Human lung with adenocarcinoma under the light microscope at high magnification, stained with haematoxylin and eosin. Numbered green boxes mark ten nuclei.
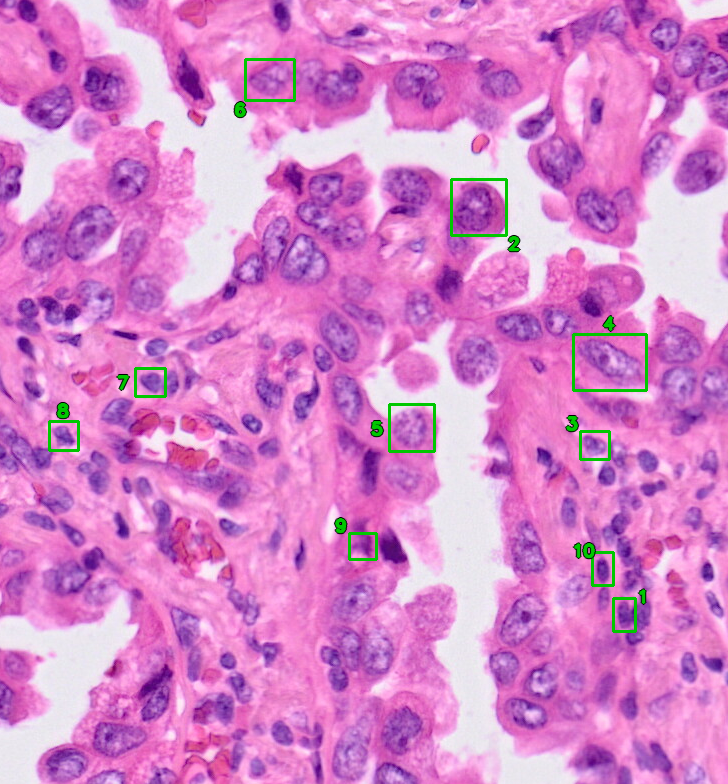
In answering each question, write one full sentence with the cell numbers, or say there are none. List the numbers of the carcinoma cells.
The cells marked with the numbers 2, 4, 5, 6 and 9 are carcinoma cells.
